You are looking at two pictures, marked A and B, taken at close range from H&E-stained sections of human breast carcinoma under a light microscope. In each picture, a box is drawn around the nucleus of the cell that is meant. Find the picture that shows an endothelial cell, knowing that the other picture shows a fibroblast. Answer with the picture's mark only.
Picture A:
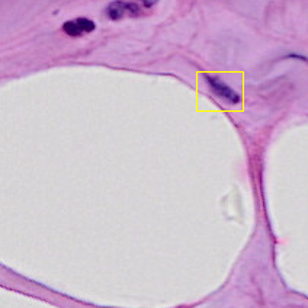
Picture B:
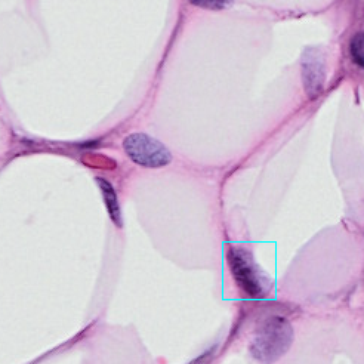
B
